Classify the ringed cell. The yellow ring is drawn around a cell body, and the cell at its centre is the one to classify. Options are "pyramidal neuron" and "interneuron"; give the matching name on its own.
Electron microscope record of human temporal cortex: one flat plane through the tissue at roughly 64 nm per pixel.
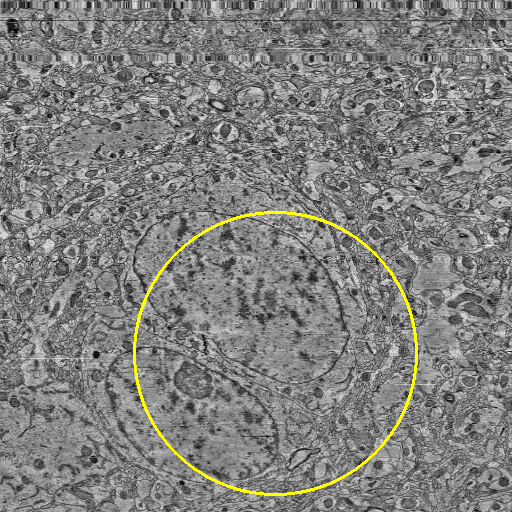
pyramidal neuron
